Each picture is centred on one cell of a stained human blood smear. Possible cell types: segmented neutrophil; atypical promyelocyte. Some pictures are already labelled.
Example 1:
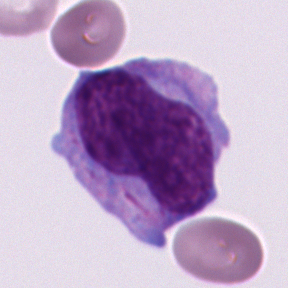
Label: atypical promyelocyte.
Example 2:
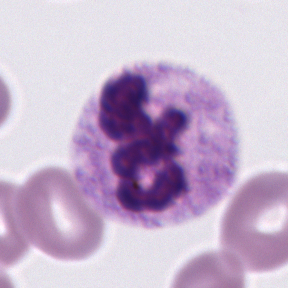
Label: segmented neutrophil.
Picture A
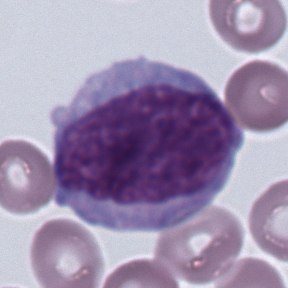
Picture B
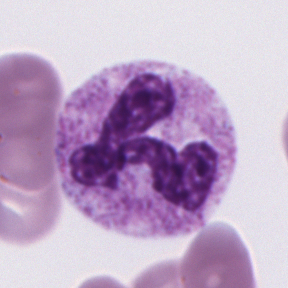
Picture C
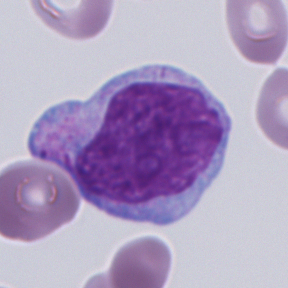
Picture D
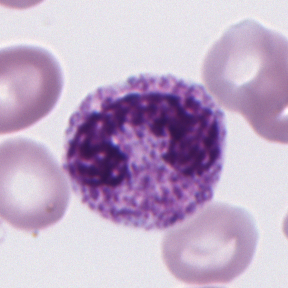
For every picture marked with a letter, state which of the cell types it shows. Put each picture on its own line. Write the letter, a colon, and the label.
A: atypical promyelocyte.
B: segmented neutrophil.
C: atypical promyelocyte.
D: segmented neutrophil.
